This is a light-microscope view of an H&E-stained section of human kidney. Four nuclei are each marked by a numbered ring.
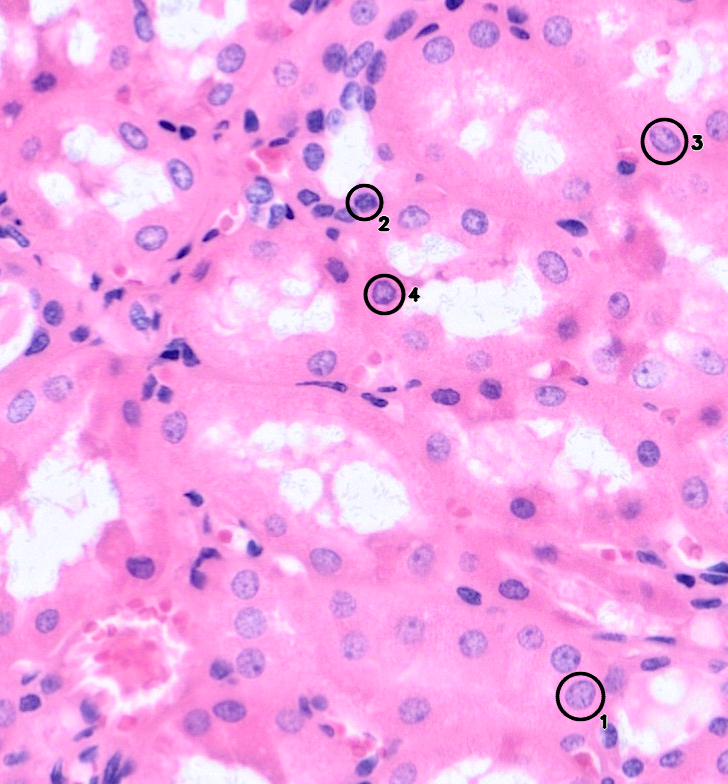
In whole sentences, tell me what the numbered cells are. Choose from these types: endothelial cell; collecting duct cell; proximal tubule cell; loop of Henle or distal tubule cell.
Cells 1, 3 and 4 are proximal tubule cells. Cell 2 is a collecting duct cell.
